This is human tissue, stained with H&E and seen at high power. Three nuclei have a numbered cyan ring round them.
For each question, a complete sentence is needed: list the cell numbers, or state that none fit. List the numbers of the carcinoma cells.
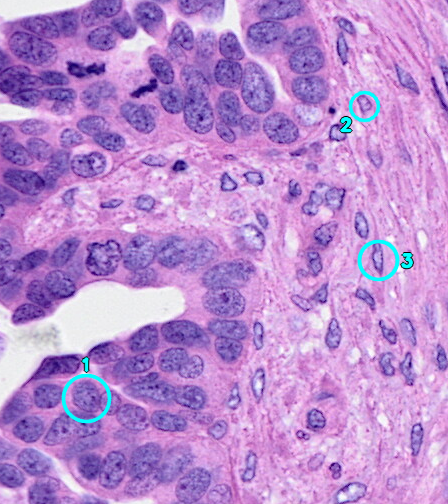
Of the cells marked with numbers, cell 1 is the only one that is a carcinoma cell.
